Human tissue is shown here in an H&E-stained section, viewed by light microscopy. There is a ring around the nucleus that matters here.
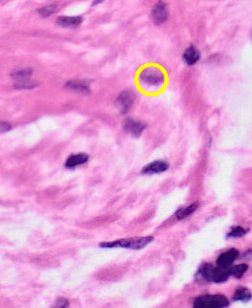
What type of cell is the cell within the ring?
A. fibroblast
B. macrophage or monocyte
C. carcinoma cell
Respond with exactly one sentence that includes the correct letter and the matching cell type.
Right answer, option A: the cell within the ring is a fibroblast.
